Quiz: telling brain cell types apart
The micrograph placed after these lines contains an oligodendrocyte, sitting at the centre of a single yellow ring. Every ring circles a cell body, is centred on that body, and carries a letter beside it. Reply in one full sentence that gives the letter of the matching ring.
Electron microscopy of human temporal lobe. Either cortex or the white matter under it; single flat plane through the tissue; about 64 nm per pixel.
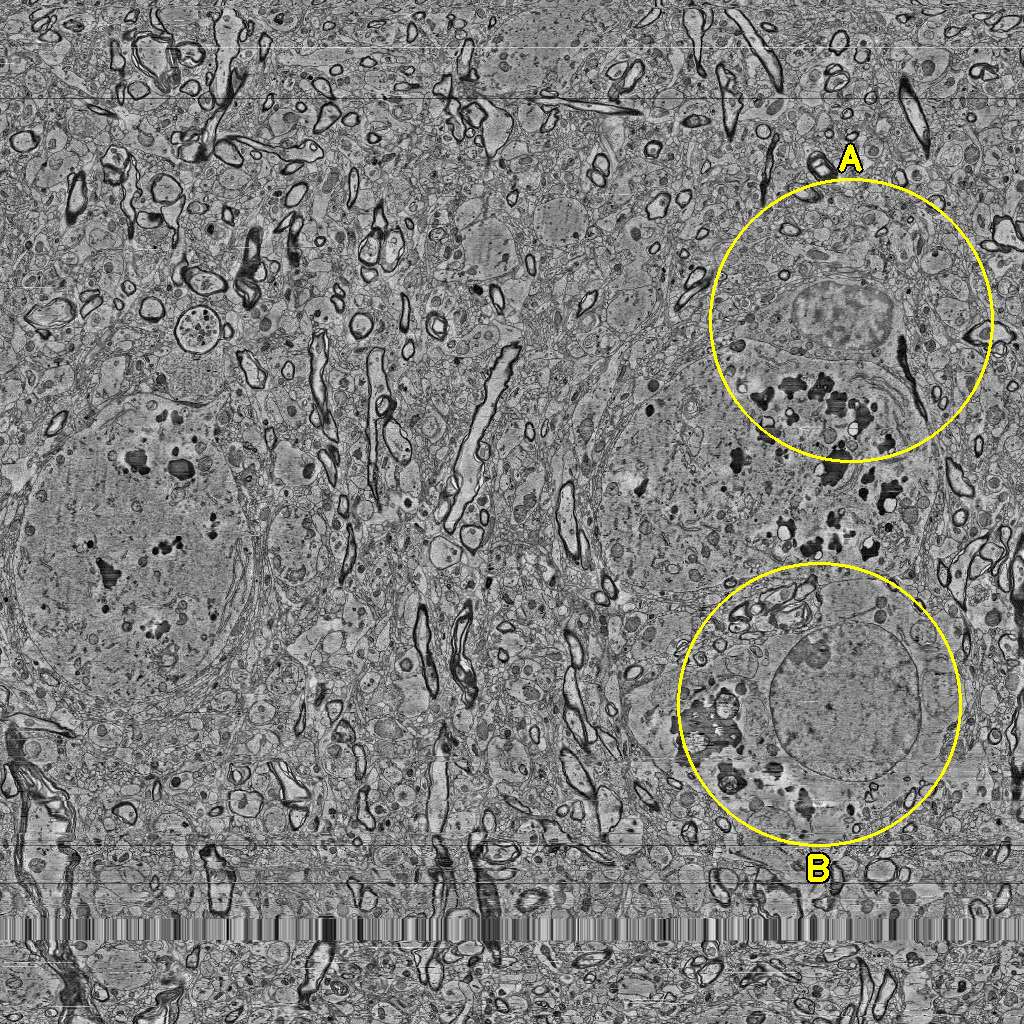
The cell asked for lies at the centre of ring A in the picture.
